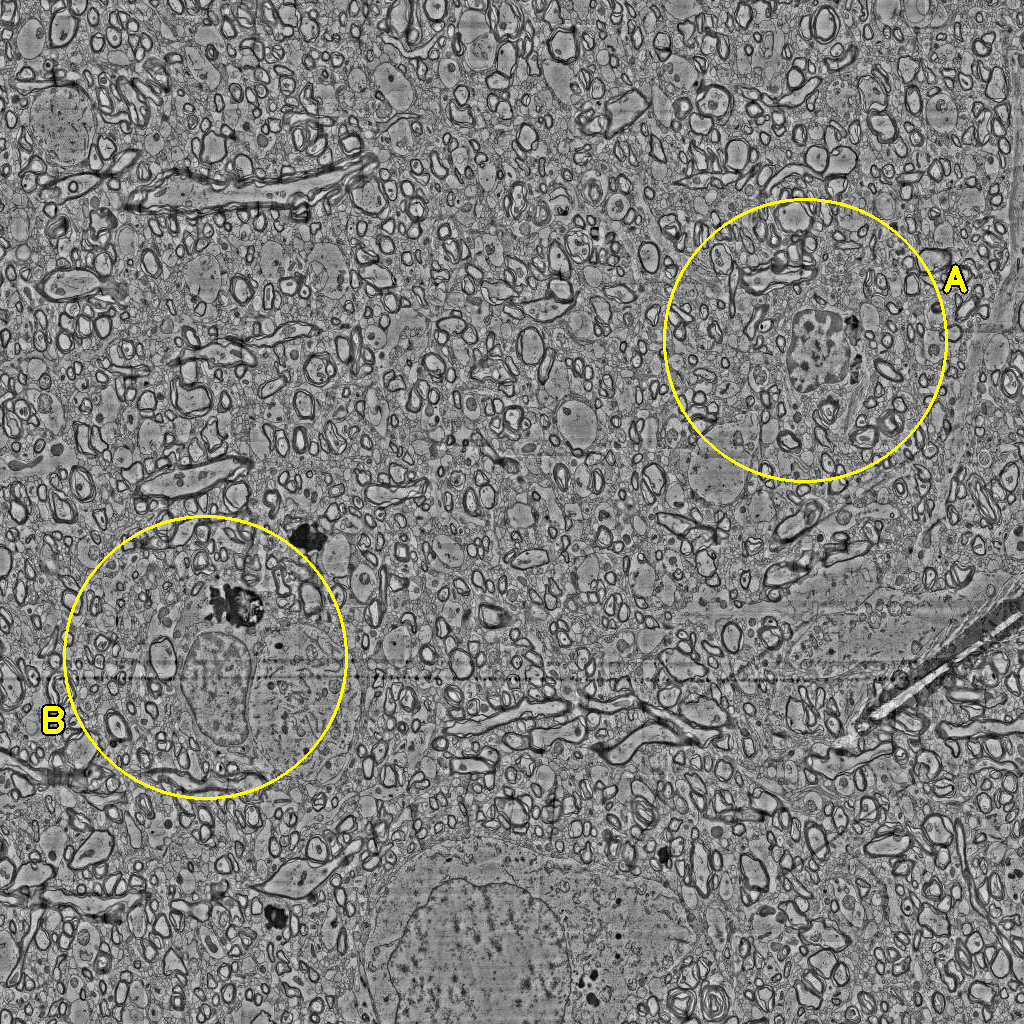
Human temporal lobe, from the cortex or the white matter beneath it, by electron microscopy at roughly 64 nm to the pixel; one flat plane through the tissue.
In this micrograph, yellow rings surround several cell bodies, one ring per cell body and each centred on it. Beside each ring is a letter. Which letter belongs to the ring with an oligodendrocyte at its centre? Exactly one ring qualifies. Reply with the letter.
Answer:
B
